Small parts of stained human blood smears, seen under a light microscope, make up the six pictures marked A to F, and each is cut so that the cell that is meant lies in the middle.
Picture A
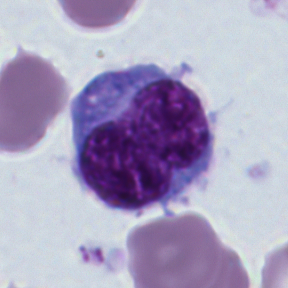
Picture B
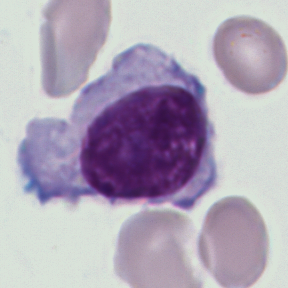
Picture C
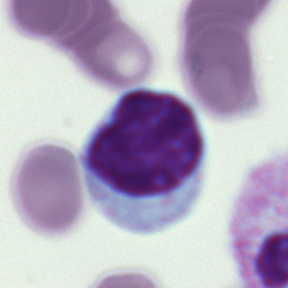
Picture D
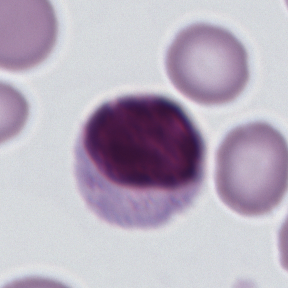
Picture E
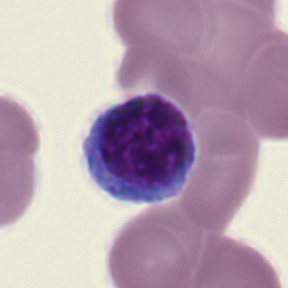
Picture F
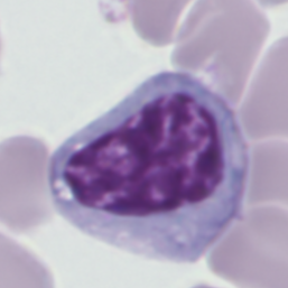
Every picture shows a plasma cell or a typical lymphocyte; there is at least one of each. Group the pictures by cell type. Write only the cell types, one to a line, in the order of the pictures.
plasma cell
plasma cell
typical lymphocyte
typical lymphocyte
plasma cell
plasma cell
